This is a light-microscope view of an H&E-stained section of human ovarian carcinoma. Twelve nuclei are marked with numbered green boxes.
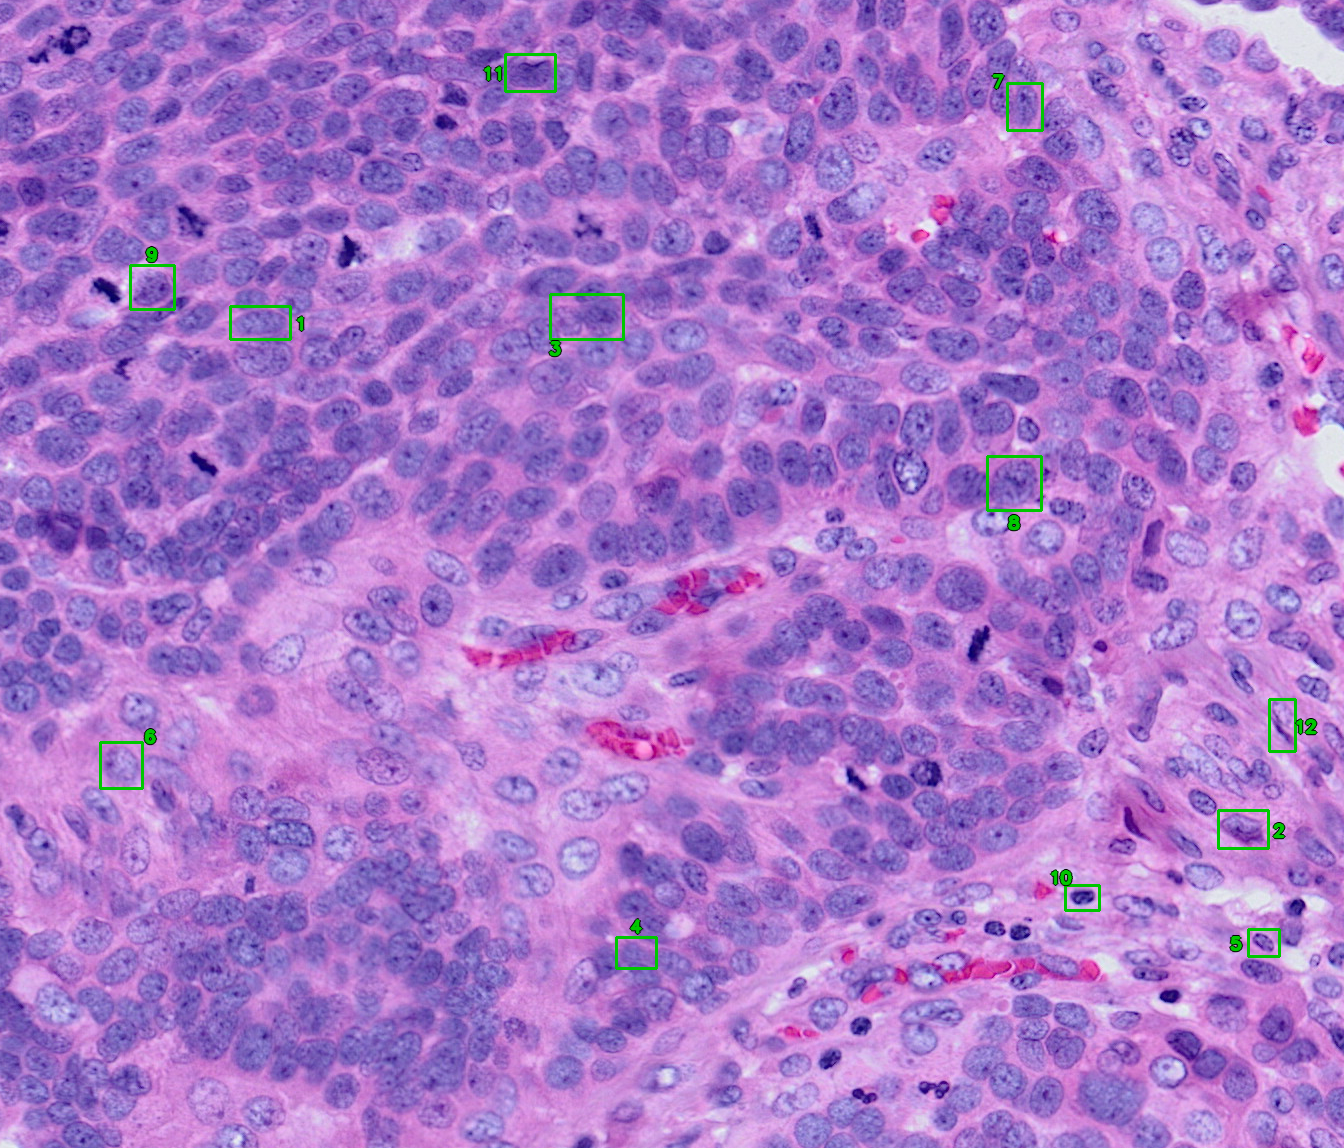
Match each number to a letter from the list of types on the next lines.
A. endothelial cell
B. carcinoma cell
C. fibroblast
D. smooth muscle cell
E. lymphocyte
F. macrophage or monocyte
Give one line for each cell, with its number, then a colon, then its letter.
1: B
2: C
3: B
4: B
5: E
6: C
7: B
8: B
9: B
10: E
11: B
12: C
